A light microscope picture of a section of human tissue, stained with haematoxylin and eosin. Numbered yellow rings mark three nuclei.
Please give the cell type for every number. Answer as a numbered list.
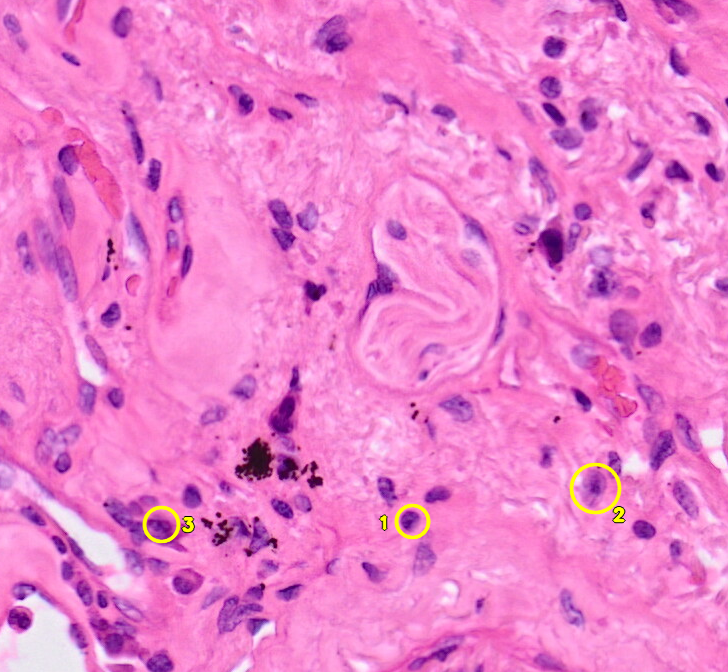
1. lymphocyte
2. fibroblast
3. plasma cell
